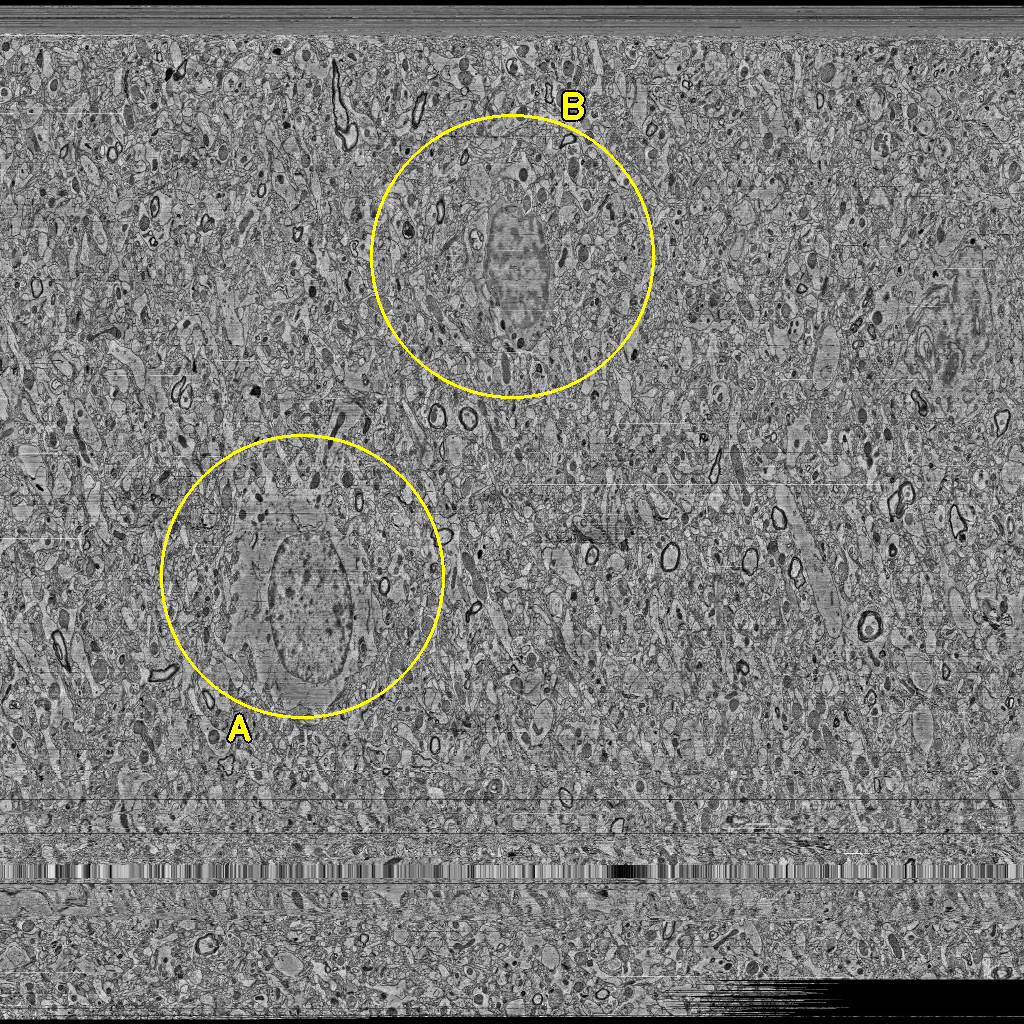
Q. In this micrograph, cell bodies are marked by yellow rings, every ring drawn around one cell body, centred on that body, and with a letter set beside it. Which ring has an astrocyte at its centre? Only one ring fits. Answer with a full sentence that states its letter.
The ring lettered A surrounds the cell asked for at its centre.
